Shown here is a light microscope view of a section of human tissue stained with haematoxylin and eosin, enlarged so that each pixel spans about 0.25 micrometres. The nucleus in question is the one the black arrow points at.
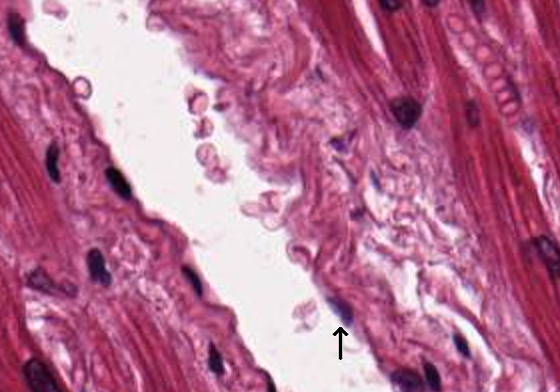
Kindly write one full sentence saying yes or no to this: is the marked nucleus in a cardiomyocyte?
No, the marked nucleus has its place in a supporting cell rather than in a cardiomyocyte.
